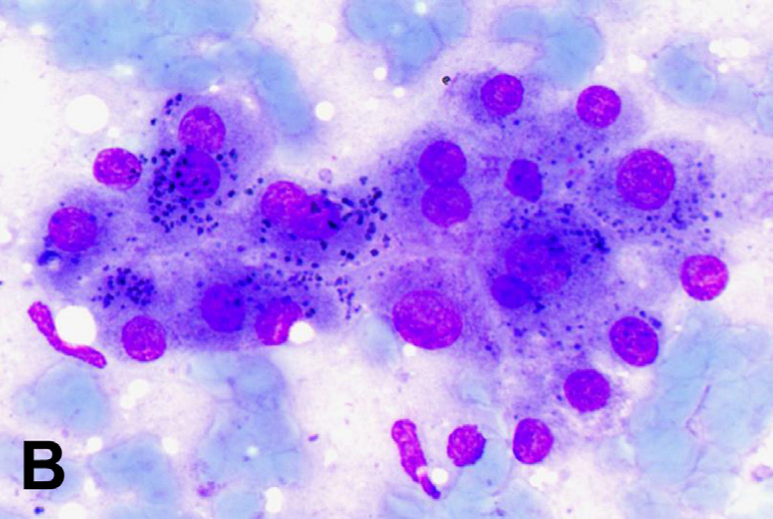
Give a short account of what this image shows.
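The hepatocytes have broad, purple, granular cytoplasm with ill-defined borders, and round magenta nuclei with fine chromatin; some cells hold two nuclei. Coarse dark blue-black granules of pigment are scattered through the cytoplasm, gathering close to the nuclei. Pale blue material and clear spaces form the background around the sheet.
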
